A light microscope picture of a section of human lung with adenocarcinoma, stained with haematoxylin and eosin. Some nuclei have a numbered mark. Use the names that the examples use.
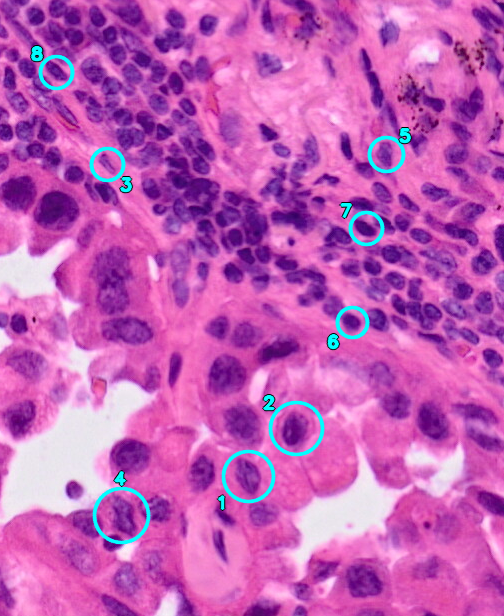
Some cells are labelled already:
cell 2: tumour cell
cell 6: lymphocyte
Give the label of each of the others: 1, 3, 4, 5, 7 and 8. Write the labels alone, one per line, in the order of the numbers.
tumour cell
lymphocyte
tumour cell
lymphocyte
lymphocyte
lymphocyte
